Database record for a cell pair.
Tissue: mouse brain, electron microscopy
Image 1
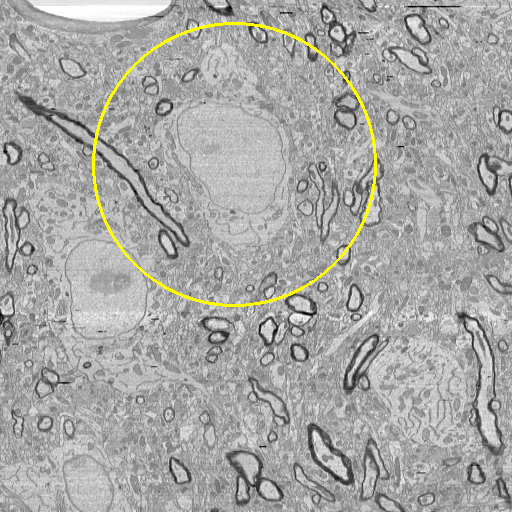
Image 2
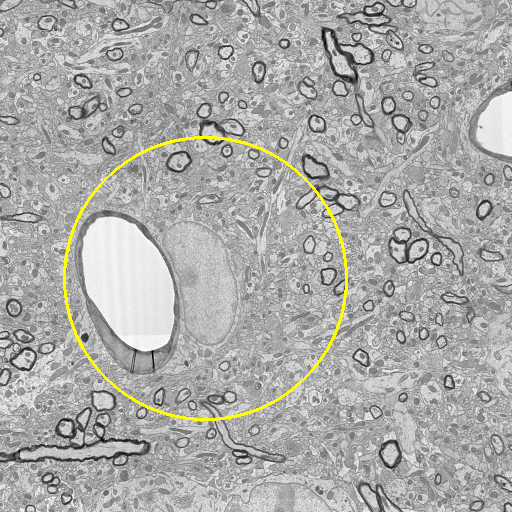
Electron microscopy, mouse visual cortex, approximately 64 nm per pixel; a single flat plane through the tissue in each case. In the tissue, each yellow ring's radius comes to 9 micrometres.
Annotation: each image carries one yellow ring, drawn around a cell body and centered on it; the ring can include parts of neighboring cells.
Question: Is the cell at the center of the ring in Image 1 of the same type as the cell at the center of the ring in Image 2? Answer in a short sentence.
No, the cells are of two types.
